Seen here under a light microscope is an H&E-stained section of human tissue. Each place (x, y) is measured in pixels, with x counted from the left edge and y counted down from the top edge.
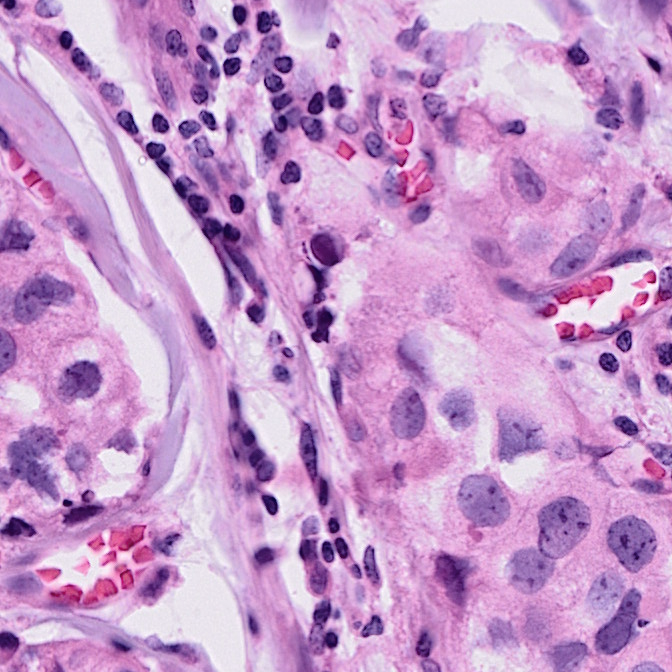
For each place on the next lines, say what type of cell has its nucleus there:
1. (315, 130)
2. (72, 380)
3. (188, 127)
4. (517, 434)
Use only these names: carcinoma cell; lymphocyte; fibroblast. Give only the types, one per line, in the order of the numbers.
lymphocyte
carcinoma cell
lymphocyte
carcinoma cell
